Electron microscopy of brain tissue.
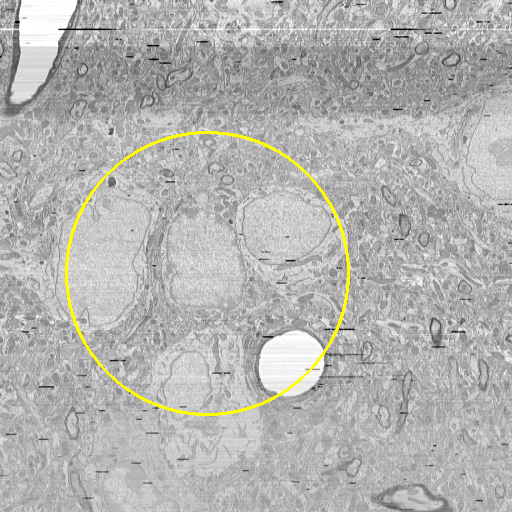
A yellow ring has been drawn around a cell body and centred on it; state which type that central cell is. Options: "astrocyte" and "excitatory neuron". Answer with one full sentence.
The cell at the middle of the yellow ring is an astrocyte in this picture.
